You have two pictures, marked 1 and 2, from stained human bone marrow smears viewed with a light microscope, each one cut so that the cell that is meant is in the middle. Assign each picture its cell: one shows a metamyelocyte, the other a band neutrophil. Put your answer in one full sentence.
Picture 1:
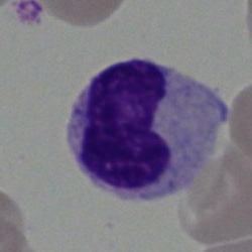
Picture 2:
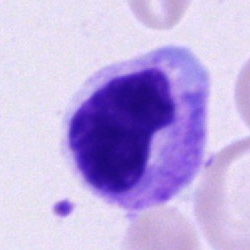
The cell in picture 1 is a band neutrophil, and the one in picture 2 is a metamyelocyte.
